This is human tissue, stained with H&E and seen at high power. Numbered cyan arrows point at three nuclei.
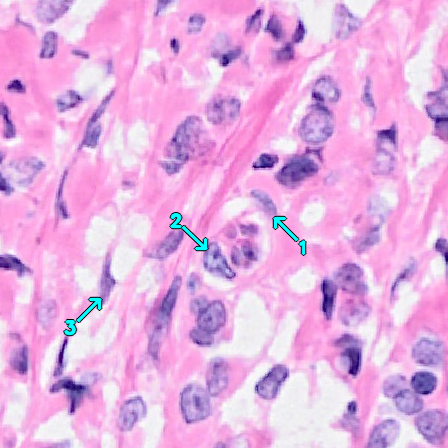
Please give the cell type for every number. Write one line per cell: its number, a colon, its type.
1: endothelial cell
2: endothelial cell
3: fibroblast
